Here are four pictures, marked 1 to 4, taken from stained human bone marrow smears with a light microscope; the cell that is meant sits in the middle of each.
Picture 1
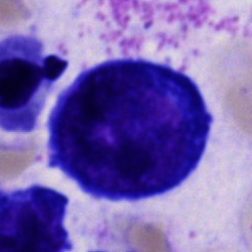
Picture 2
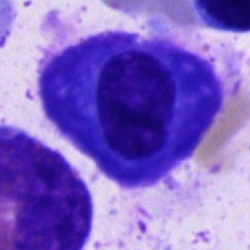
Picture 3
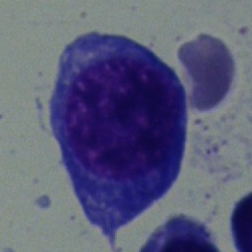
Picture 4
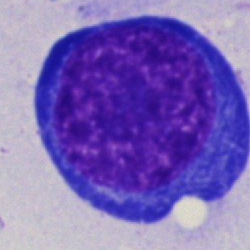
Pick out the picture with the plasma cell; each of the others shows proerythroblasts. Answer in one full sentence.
The plasma cell is the one in picture 2.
